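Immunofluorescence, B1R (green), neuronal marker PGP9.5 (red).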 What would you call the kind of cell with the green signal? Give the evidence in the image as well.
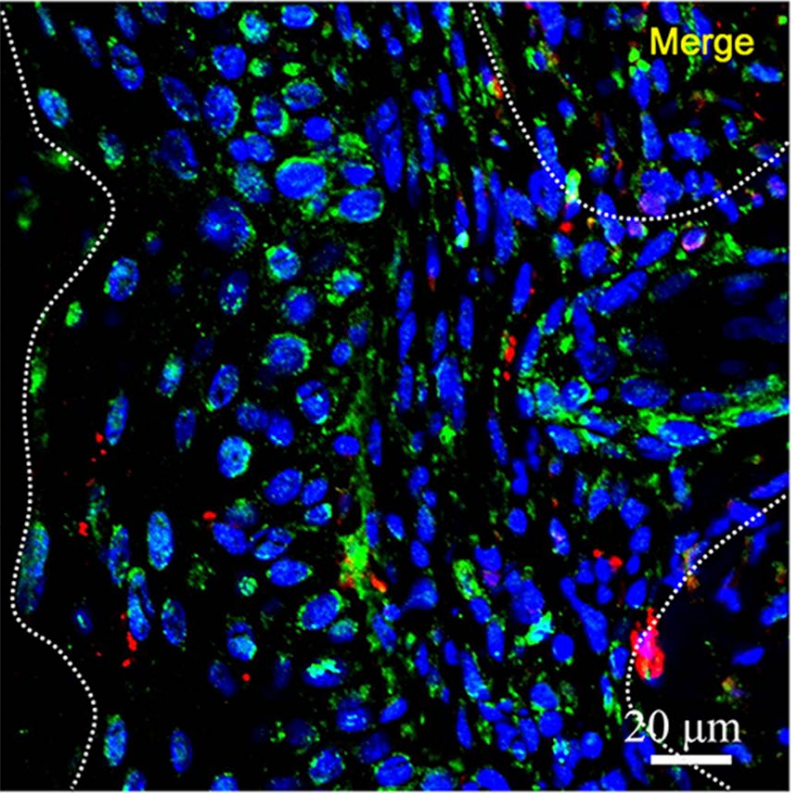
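Green signal surrounds many of the tightly packed blue nuclei between the dotted lines. The cells lie close together in layers, as in an epithelium. On this evidence: keratinocytes.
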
